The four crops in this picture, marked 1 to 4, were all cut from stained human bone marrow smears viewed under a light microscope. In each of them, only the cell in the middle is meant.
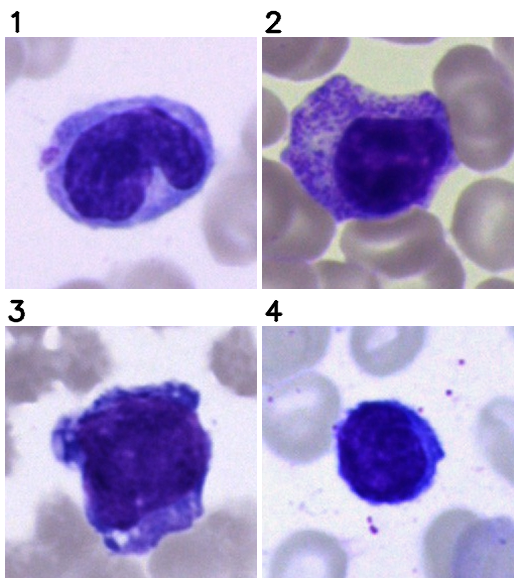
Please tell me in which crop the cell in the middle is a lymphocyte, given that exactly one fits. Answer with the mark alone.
4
